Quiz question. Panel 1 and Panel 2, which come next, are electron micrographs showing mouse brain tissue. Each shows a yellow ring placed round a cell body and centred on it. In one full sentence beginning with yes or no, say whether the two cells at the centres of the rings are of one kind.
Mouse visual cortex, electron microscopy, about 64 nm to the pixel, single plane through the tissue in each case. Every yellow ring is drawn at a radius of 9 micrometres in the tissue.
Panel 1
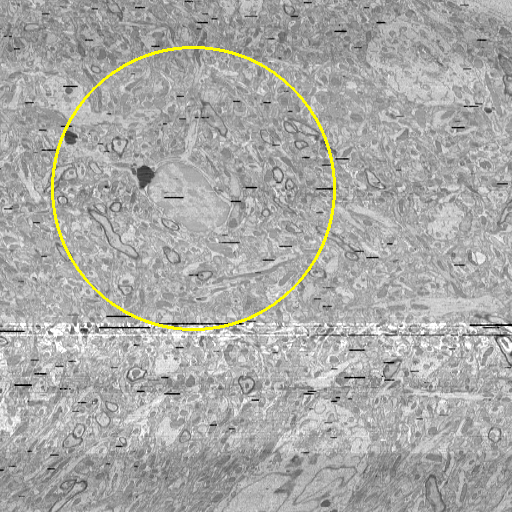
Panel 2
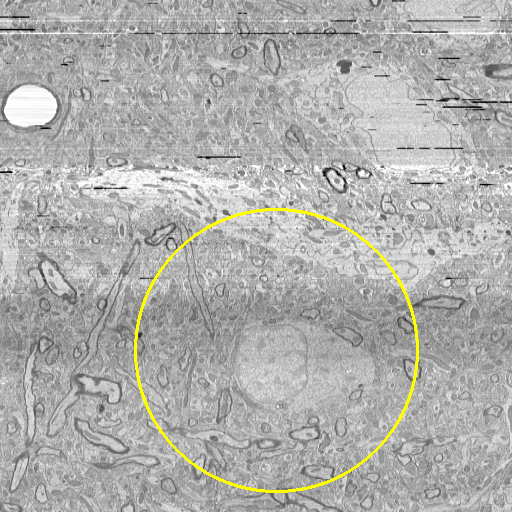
No, Panel 1 and Panel 2 show two kinds of cell at the centre of the ring.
